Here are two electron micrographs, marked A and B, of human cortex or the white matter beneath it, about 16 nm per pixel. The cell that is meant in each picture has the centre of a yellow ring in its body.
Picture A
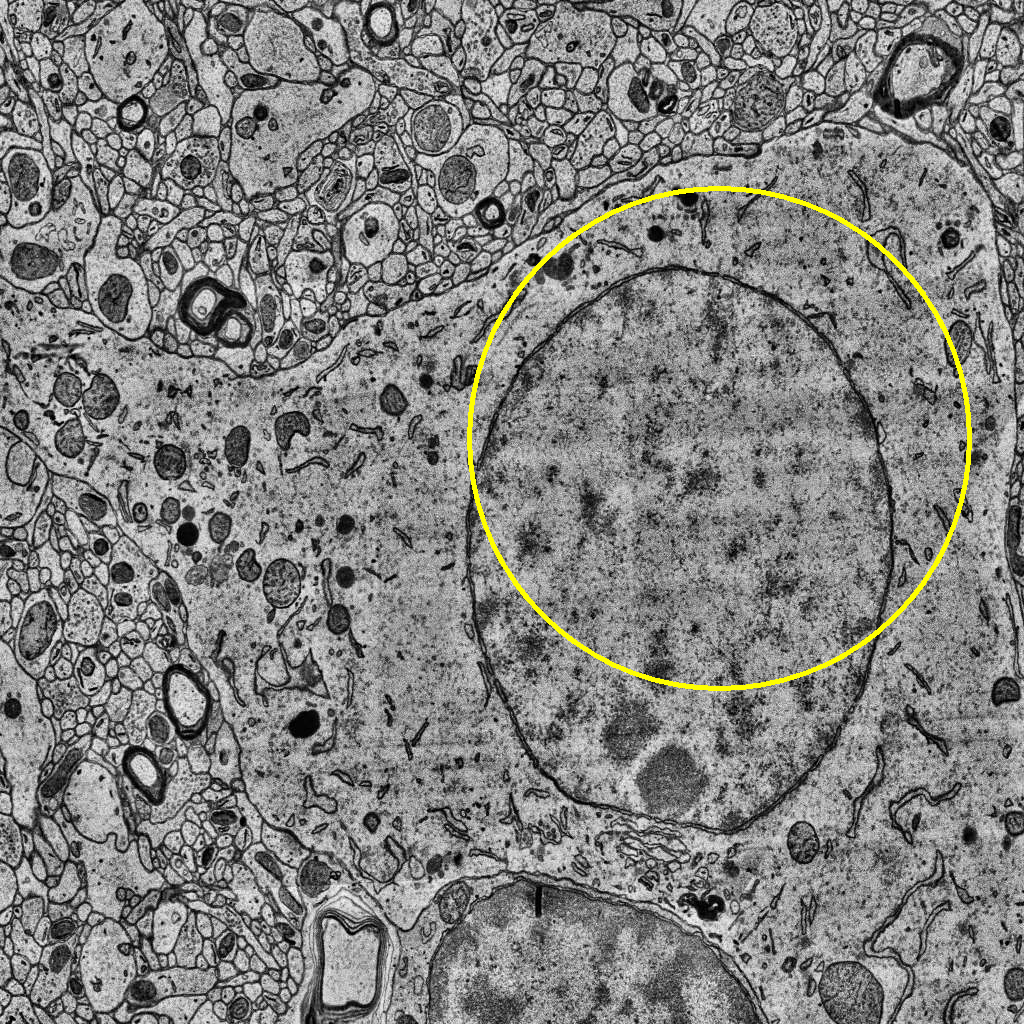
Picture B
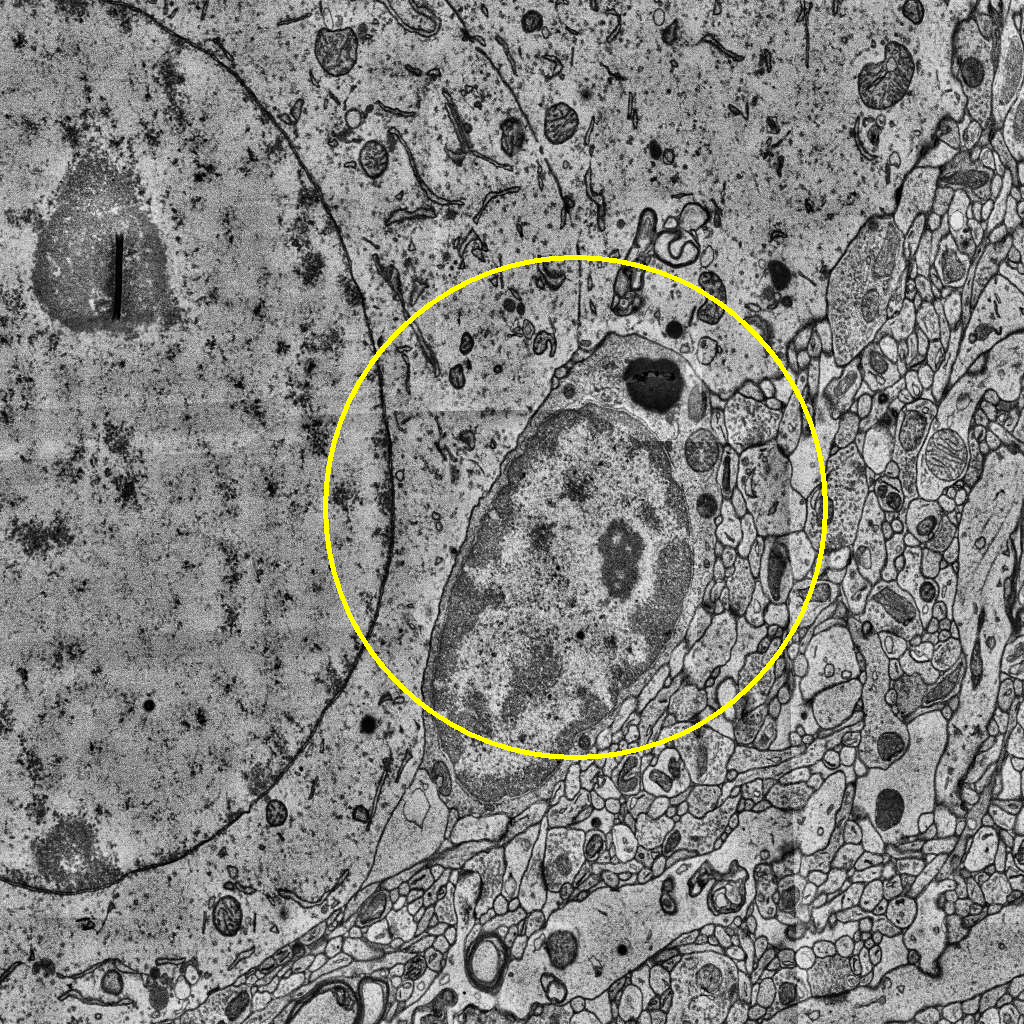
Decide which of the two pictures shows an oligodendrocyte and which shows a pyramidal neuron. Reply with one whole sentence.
The cell in picture A is a pyramidal neuron, and the one in picture B is an oligodendrocyte.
